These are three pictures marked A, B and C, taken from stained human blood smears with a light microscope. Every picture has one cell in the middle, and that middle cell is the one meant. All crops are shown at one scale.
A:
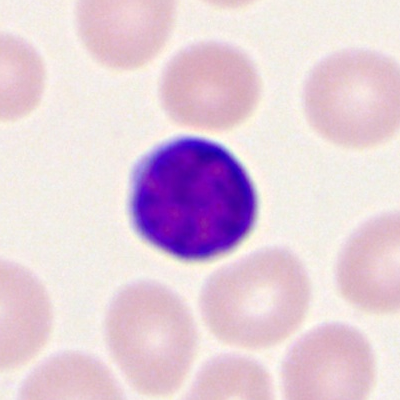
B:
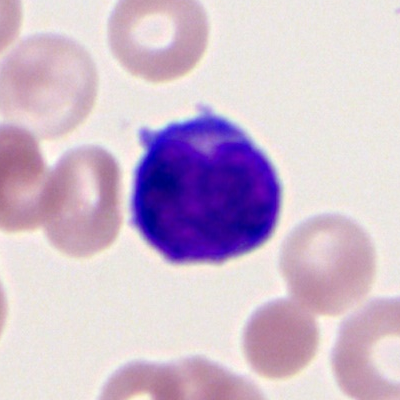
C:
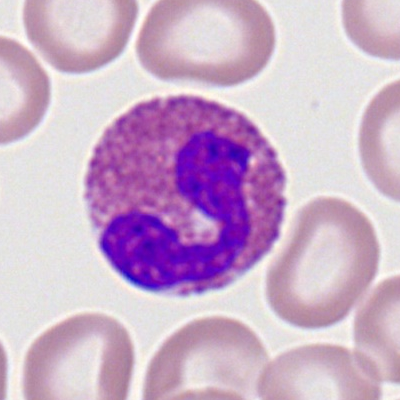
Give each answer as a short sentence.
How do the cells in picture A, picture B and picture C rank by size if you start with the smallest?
From the smallest up, the order is A, B, C.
